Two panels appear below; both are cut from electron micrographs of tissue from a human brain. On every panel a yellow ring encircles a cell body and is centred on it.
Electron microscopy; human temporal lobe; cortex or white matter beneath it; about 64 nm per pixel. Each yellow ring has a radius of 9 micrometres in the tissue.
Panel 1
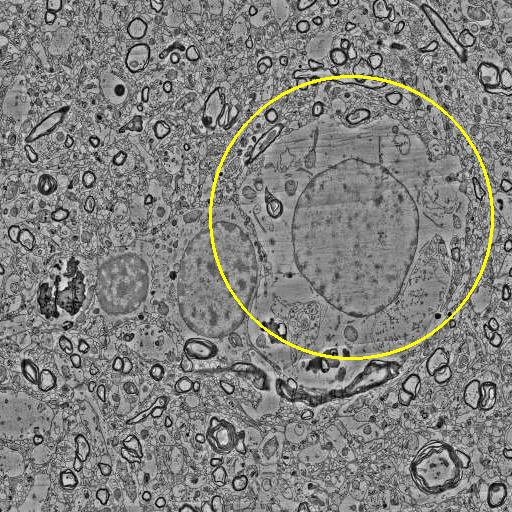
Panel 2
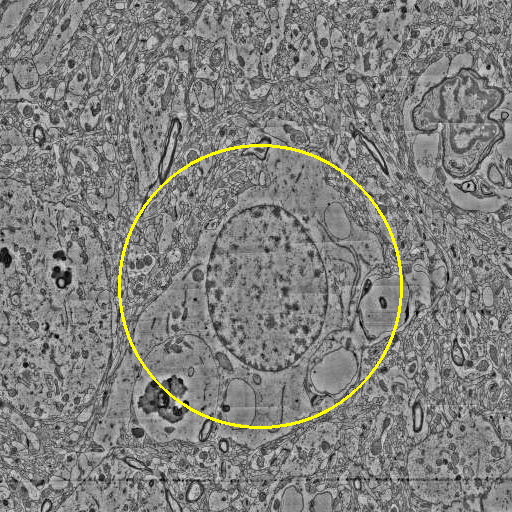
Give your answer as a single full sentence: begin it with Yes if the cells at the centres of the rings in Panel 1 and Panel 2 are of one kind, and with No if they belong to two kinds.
Yes, the cells in the middle of the rings in Panels 1 and 2 are of one kind.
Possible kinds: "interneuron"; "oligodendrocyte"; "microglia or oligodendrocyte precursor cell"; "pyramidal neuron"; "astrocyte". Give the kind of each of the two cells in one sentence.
In both pictures the ring is centred on an astrocyte.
